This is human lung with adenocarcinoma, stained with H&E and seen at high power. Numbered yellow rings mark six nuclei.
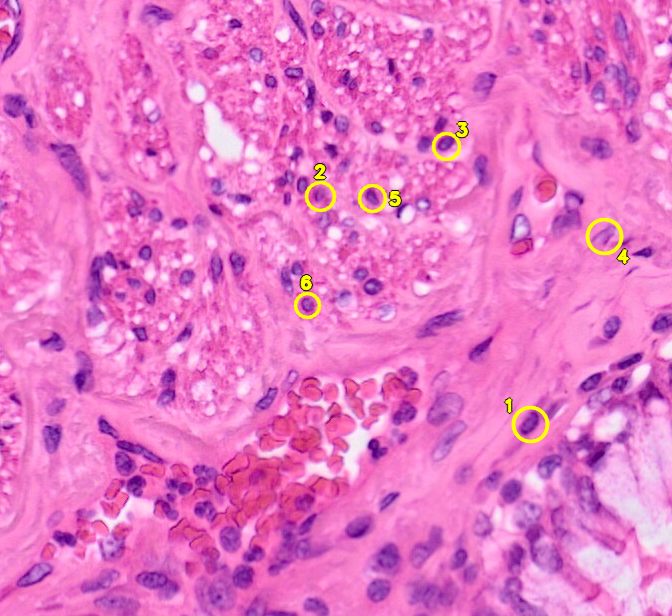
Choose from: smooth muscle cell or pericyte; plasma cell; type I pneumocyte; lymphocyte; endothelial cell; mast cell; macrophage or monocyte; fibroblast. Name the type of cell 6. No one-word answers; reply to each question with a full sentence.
Heads up, the cell numbered 6 is a smooth muscle cell or pericyte.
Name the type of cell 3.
Number 3 among the marked cells is a smooth muscle cell or pericyte.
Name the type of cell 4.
In the tissue shown, cell 4 is a fibroblast.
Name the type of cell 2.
The one labeled 2 is a smooth muscle cell or pericyte, to put it simply.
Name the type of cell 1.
Among the marked nuclei, number 1 belongs to a plasma cell.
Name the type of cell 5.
Nucleus 5 in this section belongs to a smooth muscle cell or pericyte.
